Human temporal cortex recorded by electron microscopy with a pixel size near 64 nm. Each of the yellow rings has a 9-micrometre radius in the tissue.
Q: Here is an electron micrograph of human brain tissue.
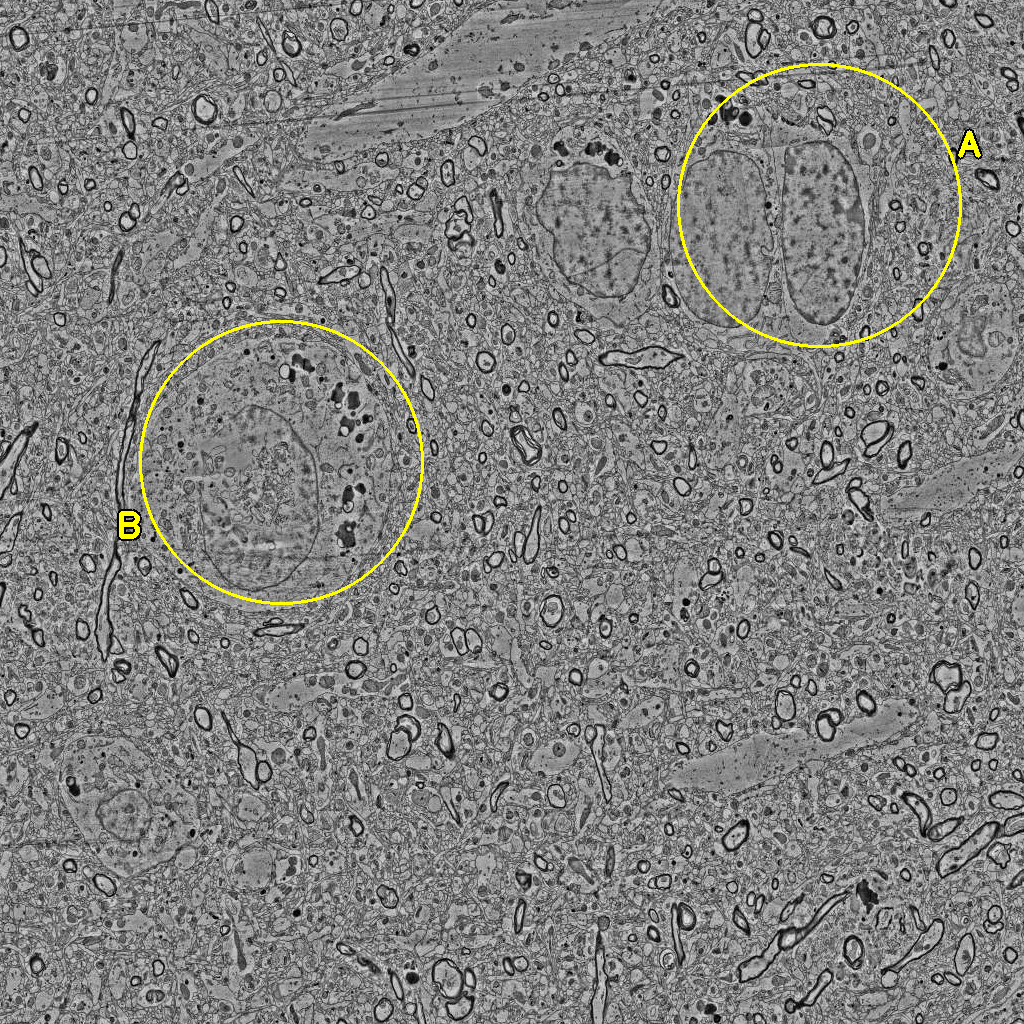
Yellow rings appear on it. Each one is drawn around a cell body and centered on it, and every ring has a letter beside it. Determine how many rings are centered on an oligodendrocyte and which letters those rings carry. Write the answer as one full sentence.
Since not one ring has an oligodendrocyte at its centre, the tally is zero.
